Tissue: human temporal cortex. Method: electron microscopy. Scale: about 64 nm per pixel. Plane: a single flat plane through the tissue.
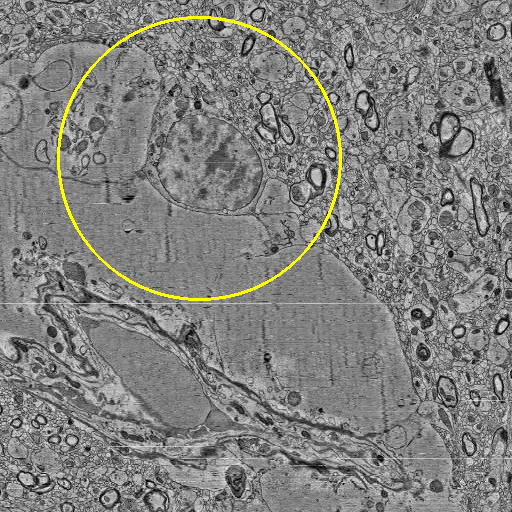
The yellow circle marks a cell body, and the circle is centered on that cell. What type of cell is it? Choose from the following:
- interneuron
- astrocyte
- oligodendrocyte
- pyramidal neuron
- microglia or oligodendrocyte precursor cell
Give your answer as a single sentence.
This cell body belongs to an oligodendrocyte.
